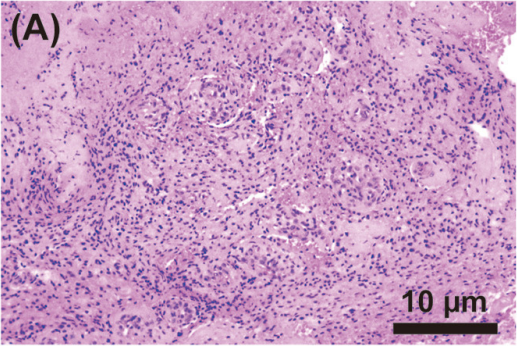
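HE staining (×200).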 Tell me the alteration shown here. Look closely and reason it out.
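Microvascular proliferation. Several rounded, tufted clusters of vessels with crowded lining cells lie among the tumor cells. These vascular clusters have layered, swirled cells around small lumens.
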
